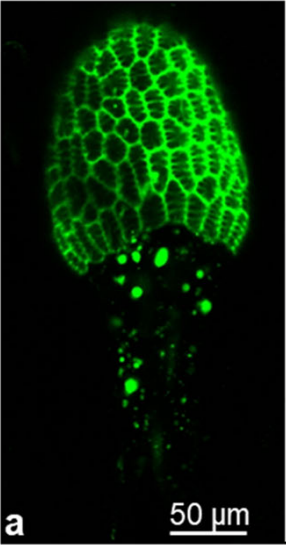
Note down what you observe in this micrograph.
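The gland head is a dome made of many small polygonal glandular cells, whose outlines glow green in a regular net. Below the head, in the narrower neck, bright green round bodies of different sizes lie in the otherwise dark cells, and smaller green dots continue into the stalk.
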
